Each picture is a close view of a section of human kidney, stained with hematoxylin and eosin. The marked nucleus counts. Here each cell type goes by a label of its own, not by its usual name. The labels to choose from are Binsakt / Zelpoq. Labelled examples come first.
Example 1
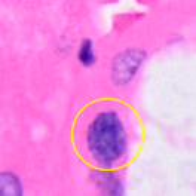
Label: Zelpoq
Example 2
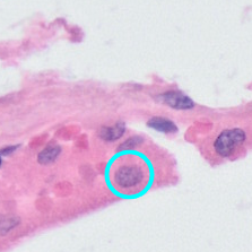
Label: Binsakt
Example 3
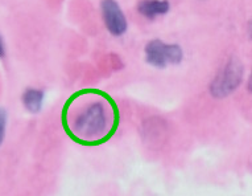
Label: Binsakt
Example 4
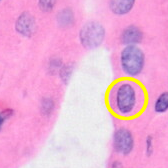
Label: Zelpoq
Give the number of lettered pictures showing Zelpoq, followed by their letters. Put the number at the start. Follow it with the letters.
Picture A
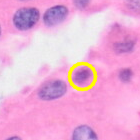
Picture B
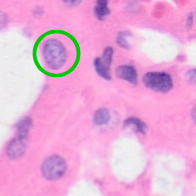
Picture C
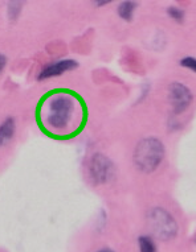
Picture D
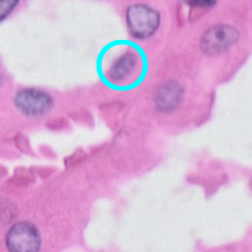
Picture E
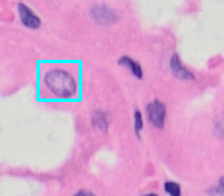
Count: 4 (A, B, C, D)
